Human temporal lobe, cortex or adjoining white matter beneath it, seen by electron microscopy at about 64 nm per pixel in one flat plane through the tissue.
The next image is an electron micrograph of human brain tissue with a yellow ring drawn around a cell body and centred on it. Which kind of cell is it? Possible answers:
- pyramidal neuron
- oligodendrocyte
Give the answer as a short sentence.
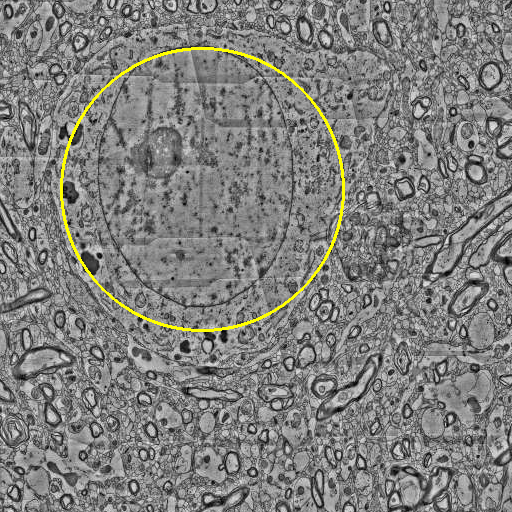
In the ring's centre is a pyramidal neuron.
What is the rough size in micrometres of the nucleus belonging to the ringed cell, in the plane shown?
The nucleus of the ringed cell is approximately 17 by 13 micrometres in this plane.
